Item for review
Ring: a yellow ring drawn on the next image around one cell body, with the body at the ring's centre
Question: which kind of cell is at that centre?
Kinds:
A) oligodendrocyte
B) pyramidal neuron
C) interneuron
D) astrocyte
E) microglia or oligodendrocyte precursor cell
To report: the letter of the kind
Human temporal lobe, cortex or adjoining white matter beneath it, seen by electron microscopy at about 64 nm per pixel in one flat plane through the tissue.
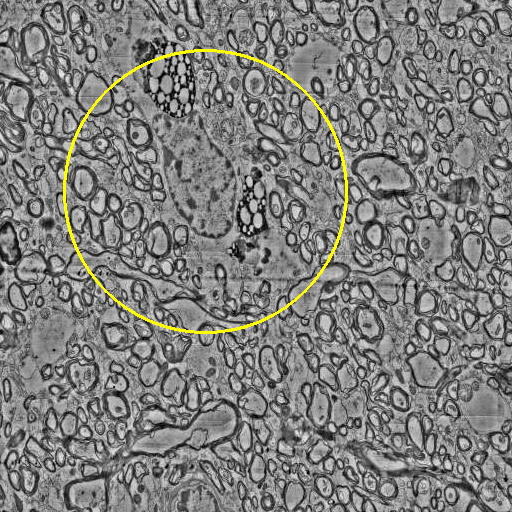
D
